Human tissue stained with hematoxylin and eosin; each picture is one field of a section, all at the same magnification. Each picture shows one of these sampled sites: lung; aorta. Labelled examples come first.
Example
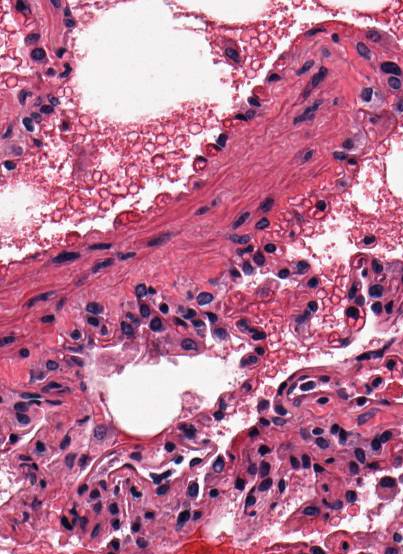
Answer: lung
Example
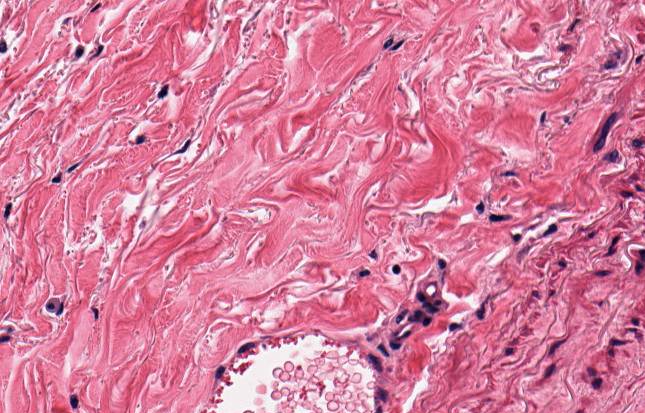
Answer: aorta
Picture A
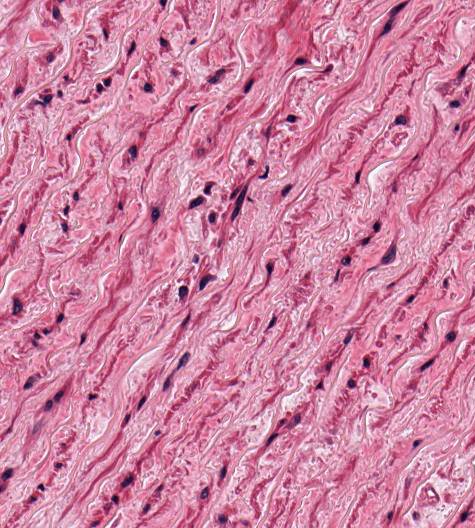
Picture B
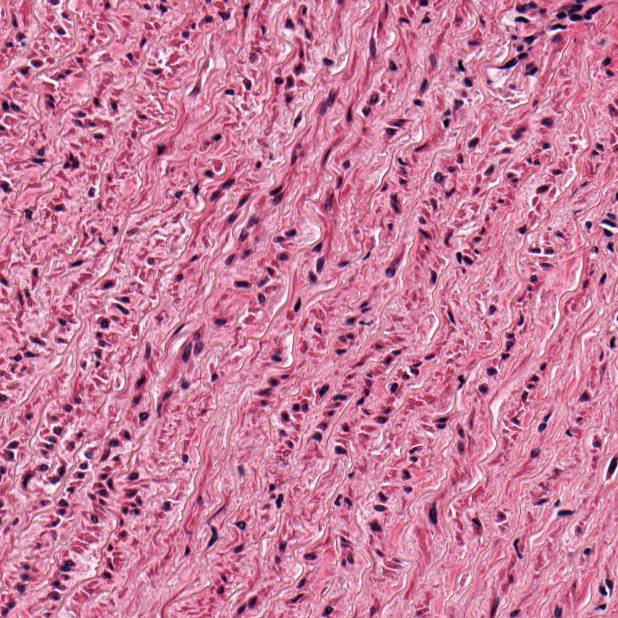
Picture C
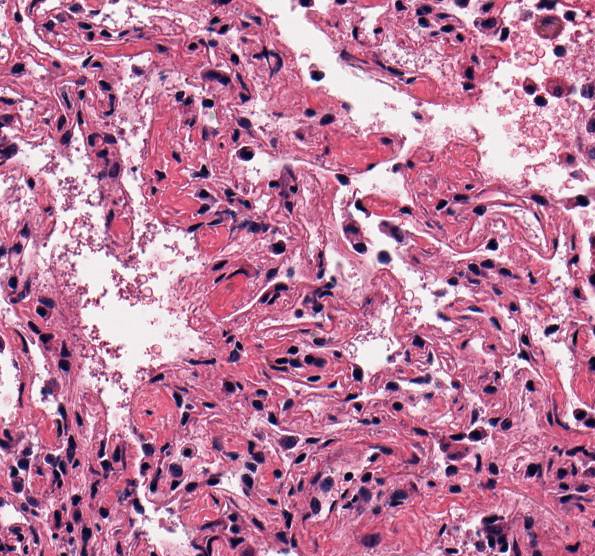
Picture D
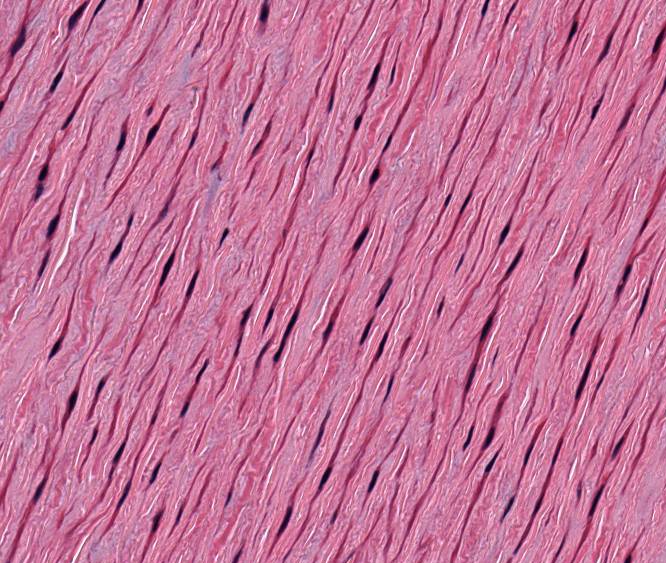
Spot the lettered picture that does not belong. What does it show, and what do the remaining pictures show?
C: lung; all the others: aorta.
